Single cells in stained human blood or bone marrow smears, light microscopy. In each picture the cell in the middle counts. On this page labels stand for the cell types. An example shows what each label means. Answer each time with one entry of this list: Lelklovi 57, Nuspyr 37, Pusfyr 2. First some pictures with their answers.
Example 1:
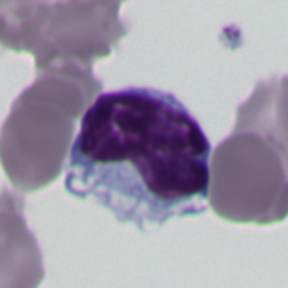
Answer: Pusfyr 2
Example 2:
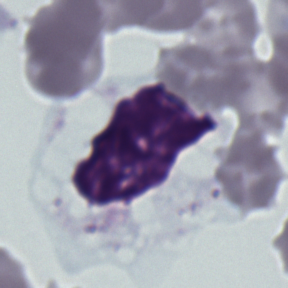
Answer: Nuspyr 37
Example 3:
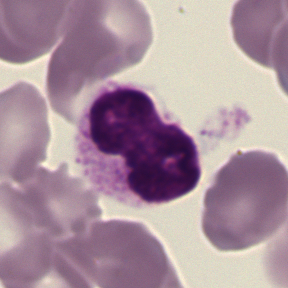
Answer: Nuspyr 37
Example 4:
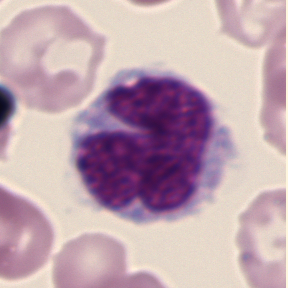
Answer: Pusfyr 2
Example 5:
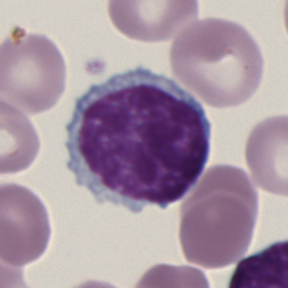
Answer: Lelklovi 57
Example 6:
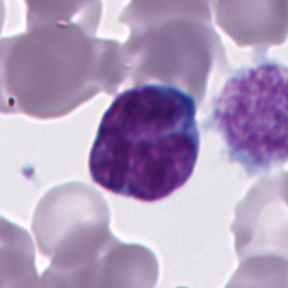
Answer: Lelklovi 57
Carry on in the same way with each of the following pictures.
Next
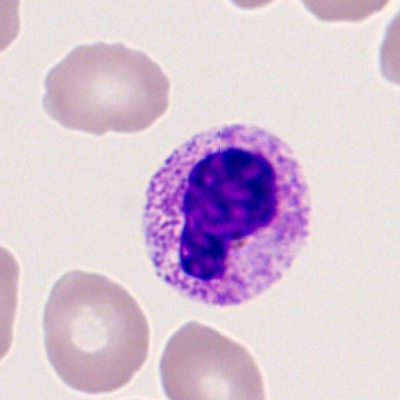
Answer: Nuspyr 37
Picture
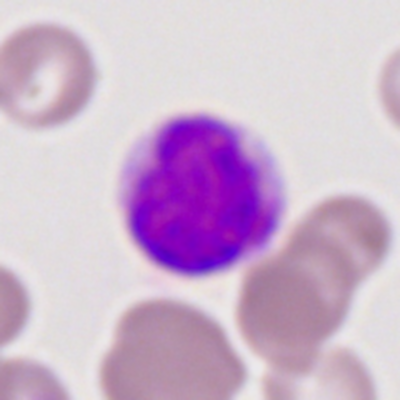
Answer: Lelklovi 57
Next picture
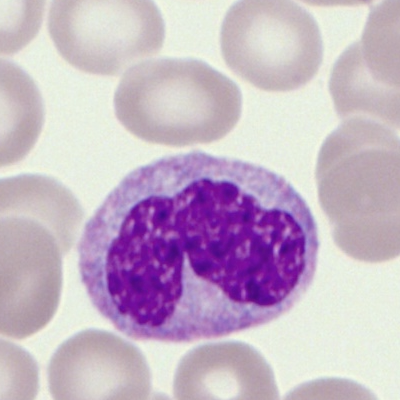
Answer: Pusfyr 2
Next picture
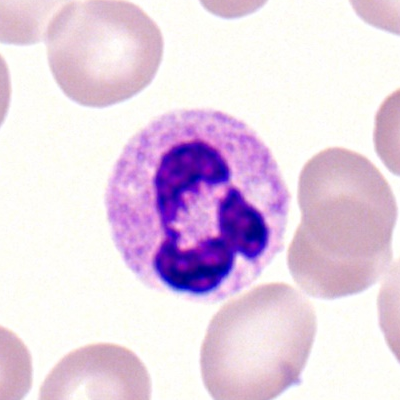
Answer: Nuspyr 37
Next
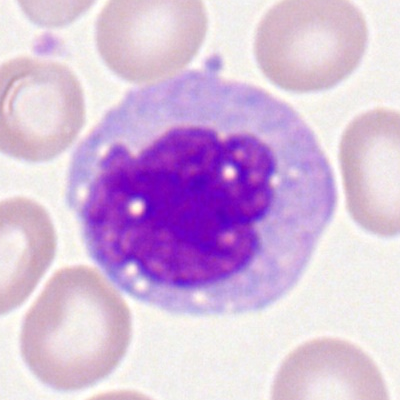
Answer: Pusfyr 2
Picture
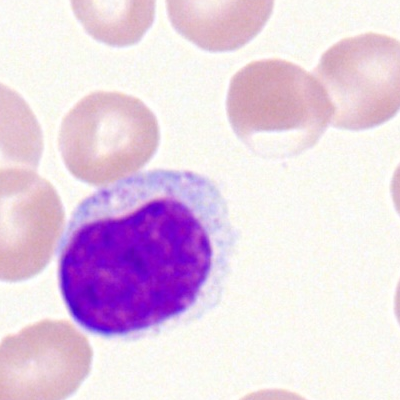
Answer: Lelklovi 57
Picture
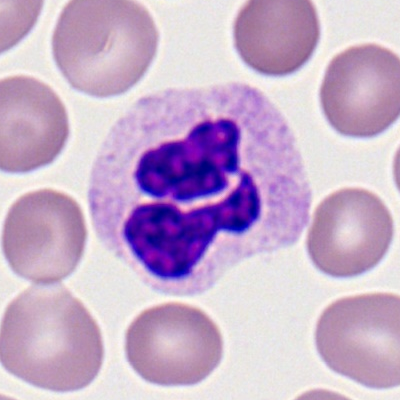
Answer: Nuspyr 37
